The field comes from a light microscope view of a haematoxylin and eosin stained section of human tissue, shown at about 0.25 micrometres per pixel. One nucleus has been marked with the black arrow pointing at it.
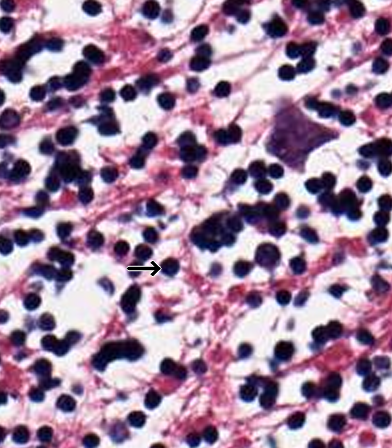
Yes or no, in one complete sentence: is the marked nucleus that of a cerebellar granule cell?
Yes, the nucleus that has been marked is that of a cerebellar granule cell.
